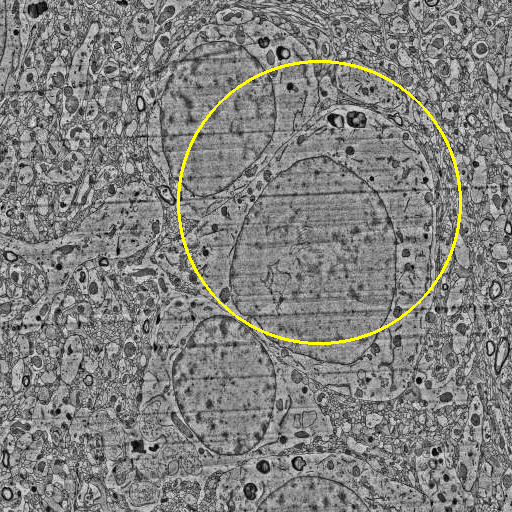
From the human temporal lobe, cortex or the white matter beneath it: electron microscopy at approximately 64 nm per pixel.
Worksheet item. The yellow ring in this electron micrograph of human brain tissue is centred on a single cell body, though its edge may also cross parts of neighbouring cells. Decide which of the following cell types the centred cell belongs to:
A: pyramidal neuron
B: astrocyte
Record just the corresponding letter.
A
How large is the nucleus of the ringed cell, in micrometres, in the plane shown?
About 13 by 11 micrometers for the nucleus, in this plane.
